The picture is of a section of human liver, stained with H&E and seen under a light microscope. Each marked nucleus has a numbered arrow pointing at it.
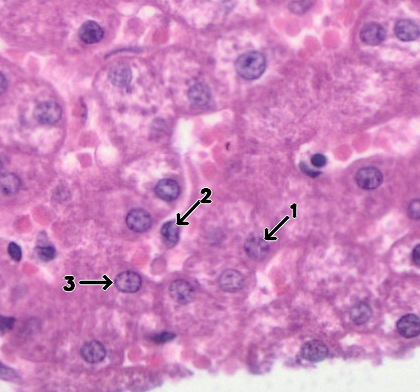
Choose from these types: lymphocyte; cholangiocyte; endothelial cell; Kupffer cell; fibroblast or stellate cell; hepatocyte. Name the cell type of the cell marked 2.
Kupffer cell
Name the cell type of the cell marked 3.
hepatocyte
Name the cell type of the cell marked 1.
hepatocyte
